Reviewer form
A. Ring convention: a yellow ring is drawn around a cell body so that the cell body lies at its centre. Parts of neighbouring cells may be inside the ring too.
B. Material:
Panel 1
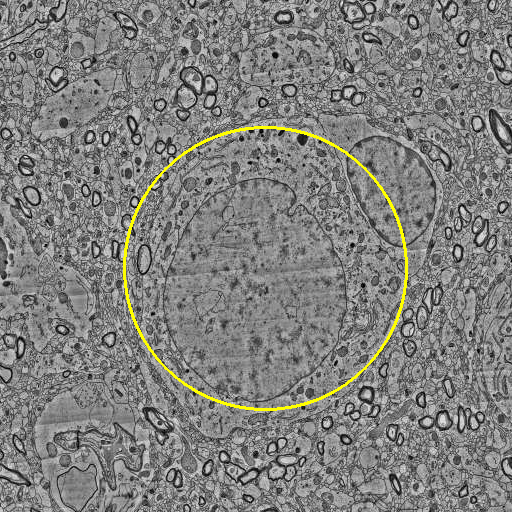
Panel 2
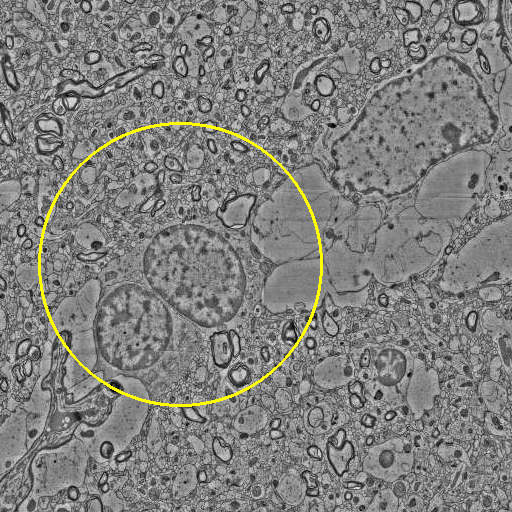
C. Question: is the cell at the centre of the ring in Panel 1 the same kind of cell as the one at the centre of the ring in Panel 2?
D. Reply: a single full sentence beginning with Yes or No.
No, the cells in Panel 1 and Panel 2 are two kinds of cell.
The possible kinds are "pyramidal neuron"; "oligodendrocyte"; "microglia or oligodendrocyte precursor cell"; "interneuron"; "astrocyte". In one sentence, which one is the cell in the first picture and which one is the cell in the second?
The cell ringed in the second picture is an oligodendrocyte, whereas the one ringed in the first is a pyramidal neuron.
